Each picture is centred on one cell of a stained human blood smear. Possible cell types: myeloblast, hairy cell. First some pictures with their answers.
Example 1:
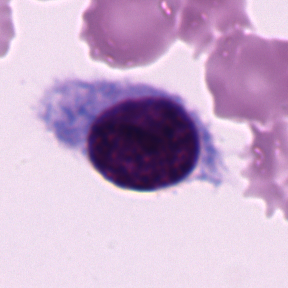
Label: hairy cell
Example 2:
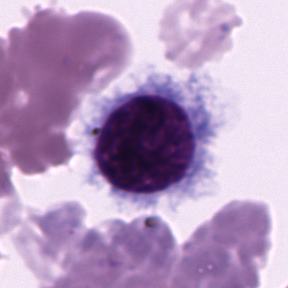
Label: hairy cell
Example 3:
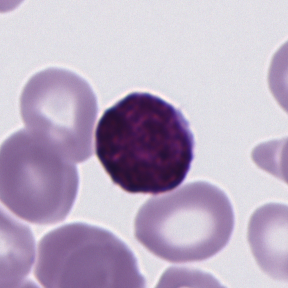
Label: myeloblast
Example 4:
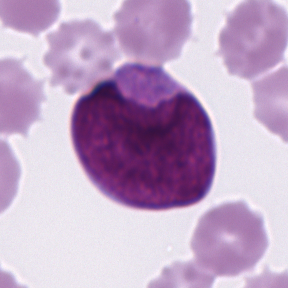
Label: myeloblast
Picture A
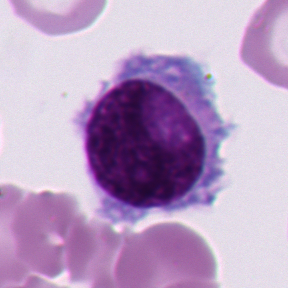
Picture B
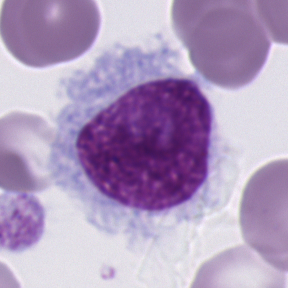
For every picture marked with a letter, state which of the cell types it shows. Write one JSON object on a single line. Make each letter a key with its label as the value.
{"A": "hairy cell", "B": "hairy cell"}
